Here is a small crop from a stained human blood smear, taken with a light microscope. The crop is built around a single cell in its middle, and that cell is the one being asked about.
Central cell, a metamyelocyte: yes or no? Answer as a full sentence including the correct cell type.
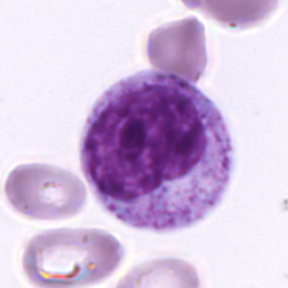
Yes, the cell placed centrally within the crop is a metamyelocyte.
